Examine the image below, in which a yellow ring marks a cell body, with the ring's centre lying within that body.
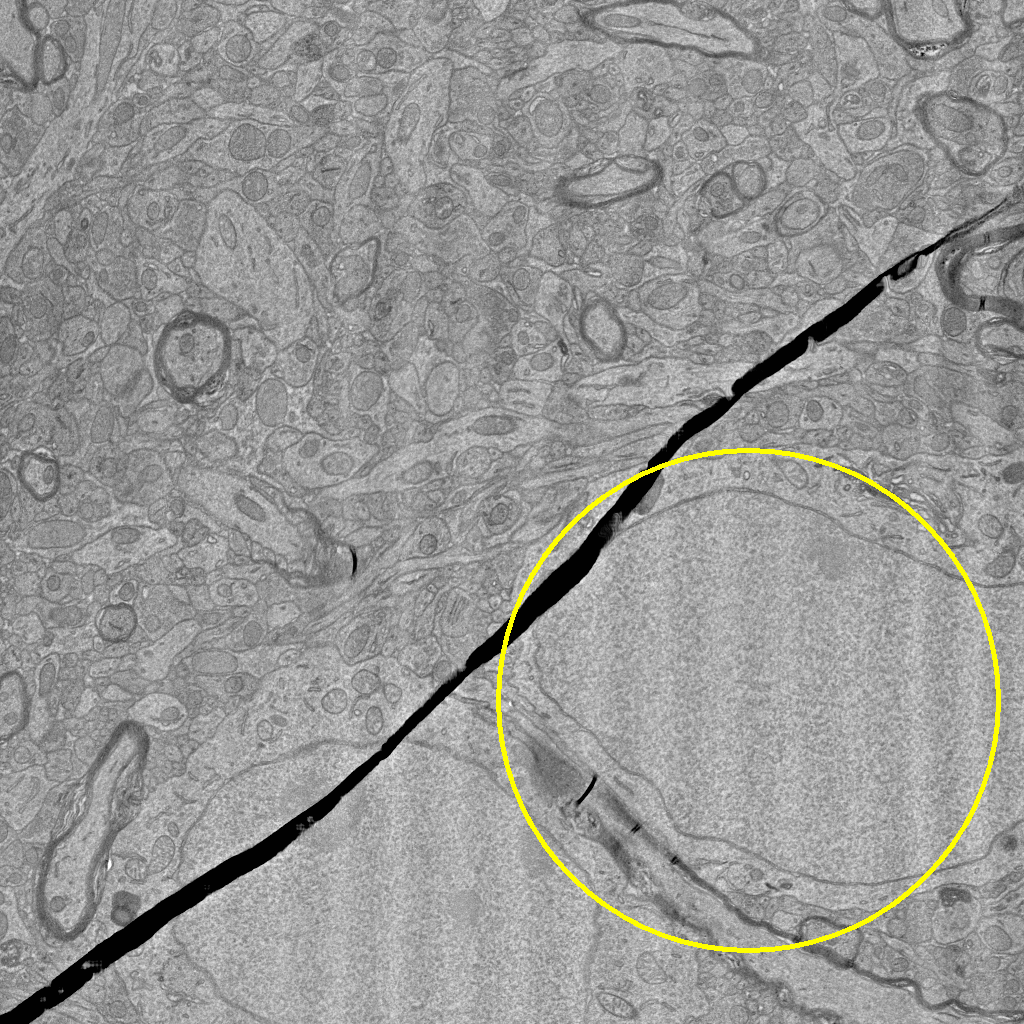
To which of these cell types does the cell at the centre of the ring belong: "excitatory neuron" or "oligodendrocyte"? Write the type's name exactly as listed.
excitatory neuron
